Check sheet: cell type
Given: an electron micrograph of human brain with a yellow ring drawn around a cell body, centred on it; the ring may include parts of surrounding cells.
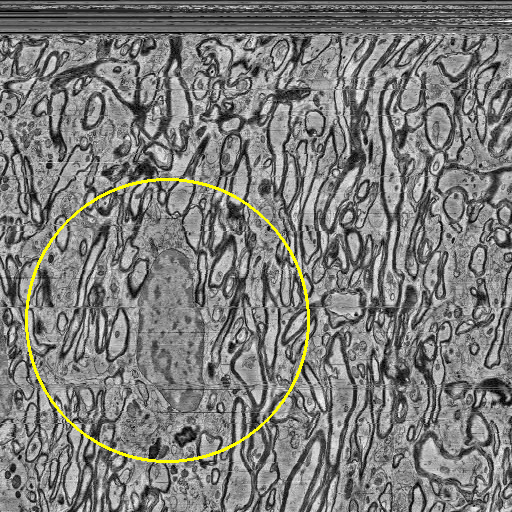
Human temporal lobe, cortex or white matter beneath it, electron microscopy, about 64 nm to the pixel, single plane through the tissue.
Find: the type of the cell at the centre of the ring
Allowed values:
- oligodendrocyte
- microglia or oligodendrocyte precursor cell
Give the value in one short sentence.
Here the ringed cell is a microglial cell or oligodendrocyte precursor cell.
